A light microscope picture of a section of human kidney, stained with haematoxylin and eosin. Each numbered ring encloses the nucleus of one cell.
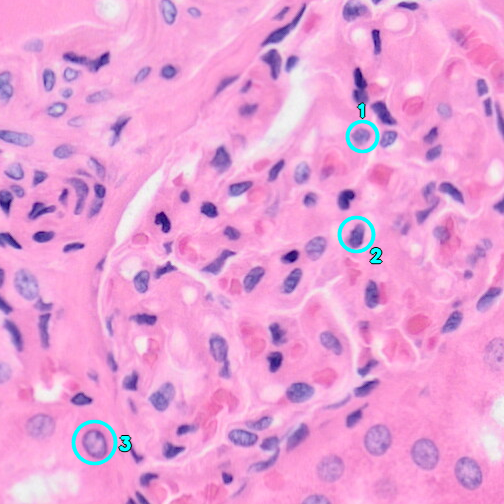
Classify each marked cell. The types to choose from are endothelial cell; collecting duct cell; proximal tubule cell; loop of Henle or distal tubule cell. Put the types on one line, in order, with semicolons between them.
endothelial cell; endothelial cell; proximal tubule cell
